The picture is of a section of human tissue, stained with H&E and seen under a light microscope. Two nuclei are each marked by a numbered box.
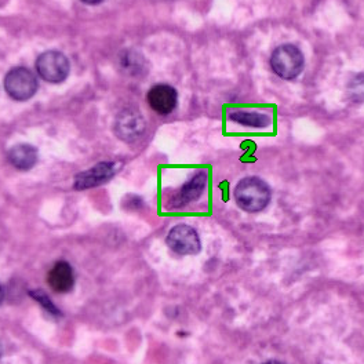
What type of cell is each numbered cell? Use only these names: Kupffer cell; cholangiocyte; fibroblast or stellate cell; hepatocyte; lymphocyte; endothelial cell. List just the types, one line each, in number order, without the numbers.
Kupffer cell
endothelial cell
